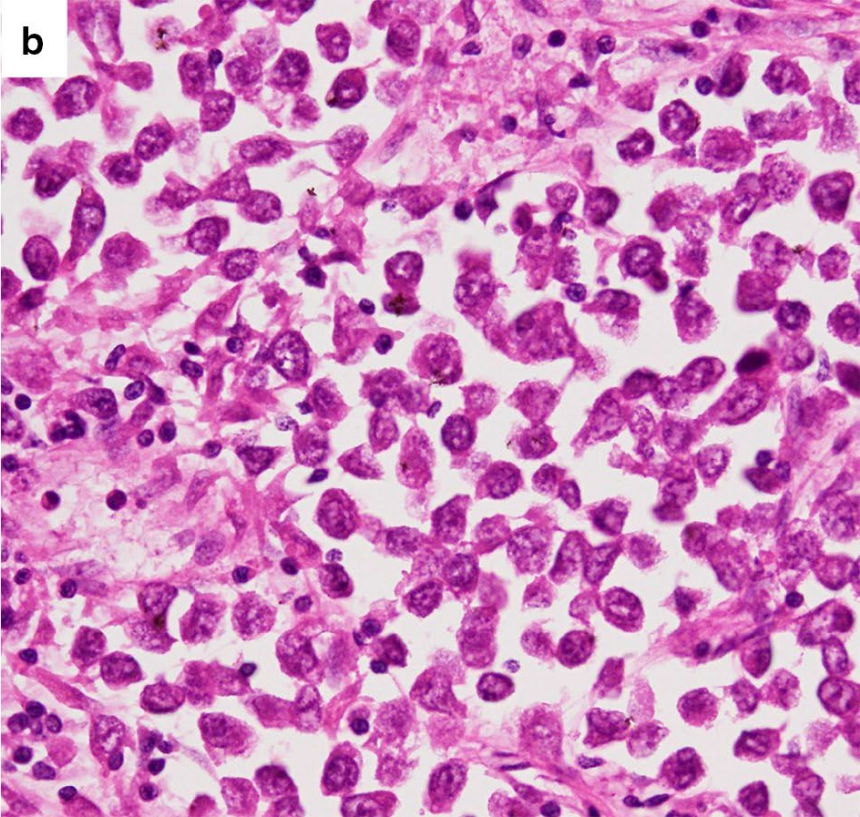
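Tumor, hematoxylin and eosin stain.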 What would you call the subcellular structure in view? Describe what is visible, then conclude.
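Nucleoli. The large cells have round to oval nuclei. Dark dots stand out within many of the large nuclei.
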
